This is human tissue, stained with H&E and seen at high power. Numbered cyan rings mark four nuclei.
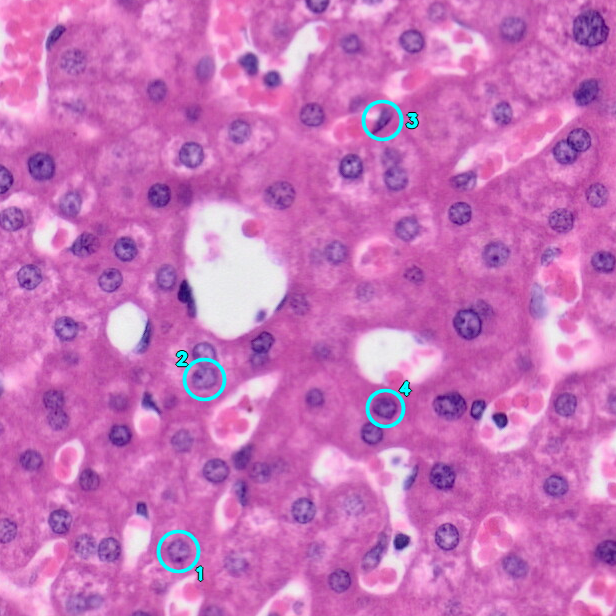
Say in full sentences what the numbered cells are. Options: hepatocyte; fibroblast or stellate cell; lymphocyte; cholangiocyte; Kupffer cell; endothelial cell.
Cell 1 is a hepatocyte, cell 2 is a hepatocyte, cell 3 is an endothelial cell and cell 4 is a hepatocyte.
